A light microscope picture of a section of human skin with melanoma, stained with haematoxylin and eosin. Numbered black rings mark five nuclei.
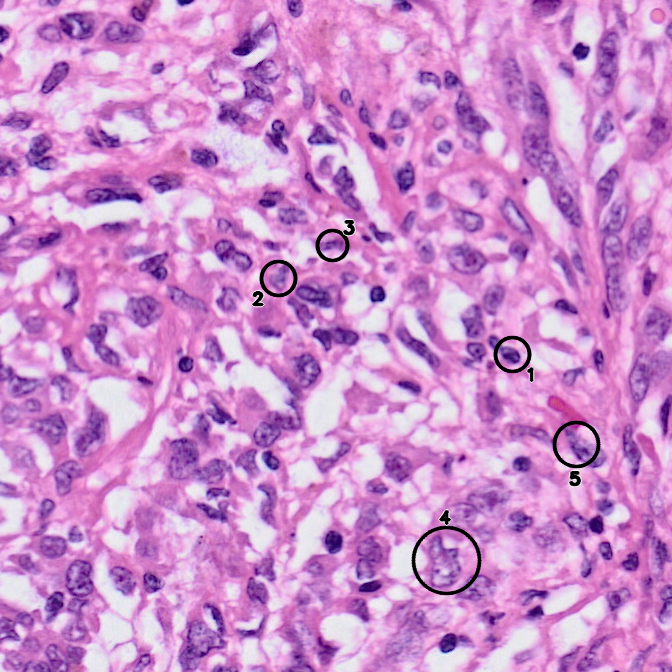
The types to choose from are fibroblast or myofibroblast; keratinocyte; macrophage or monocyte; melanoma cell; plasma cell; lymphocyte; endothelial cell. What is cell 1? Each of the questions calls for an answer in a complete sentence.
The cell marked with number 1 is a lymphocyte.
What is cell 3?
At number 3, the marked cell is a fibroblast or myofibroblast.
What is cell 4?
Marked with the number 4, this cell is a melanoma cell.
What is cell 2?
In this section, number 2 marks a macrophage or monocyte.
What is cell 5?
The nucleus marked 5 is the nucleus of an endothelial cell.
